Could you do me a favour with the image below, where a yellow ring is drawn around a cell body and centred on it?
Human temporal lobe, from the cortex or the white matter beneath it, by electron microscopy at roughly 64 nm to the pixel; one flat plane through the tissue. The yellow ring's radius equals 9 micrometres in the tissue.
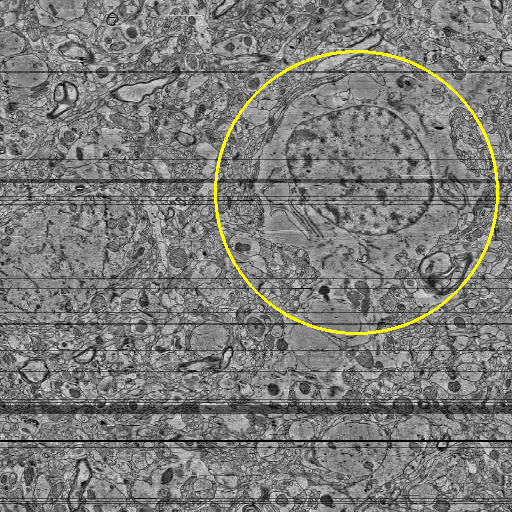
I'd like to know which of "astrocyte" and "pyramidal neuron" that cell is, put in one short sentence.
The cell at the ring's centre is an astrocyte.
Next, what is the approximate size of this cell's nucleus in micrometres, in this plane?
Roughly 9 micrometres across, measured in this plane.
